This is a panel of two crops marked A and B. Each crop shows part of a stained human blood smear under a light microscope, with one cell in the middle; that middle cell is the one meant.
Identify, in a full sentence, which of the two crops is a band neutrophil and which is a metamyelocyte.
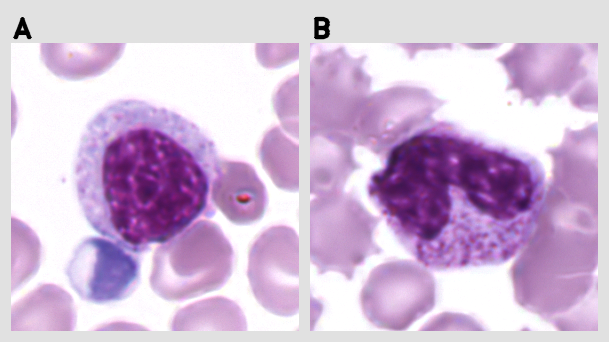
Crop A contains a metamyelocyte, and crop B contains a band neutrophil.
